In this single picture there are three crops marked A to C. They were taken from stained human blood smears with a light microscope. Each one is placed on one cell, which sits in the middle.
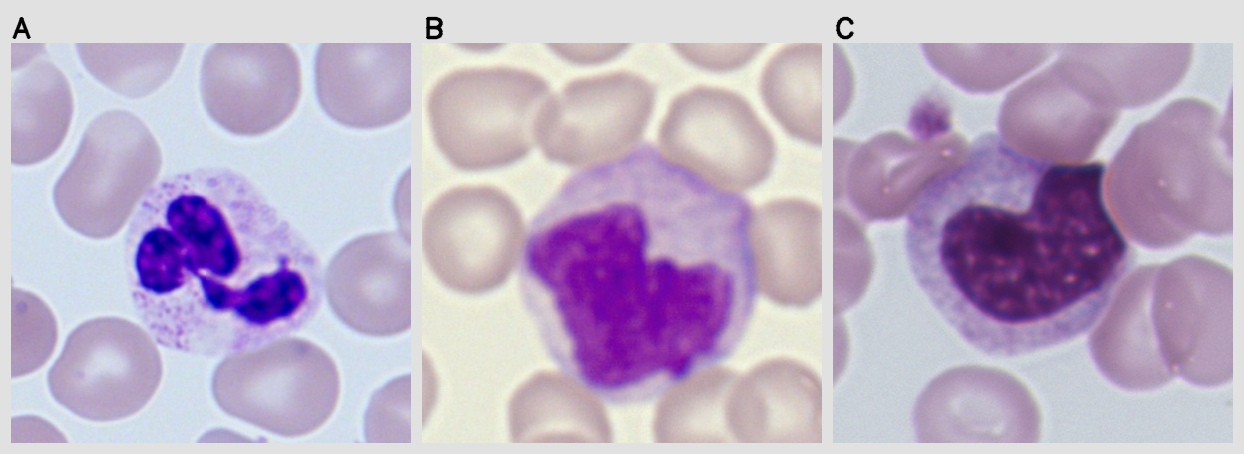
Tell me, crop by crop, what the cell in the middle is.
A: segmented neutrophil
B: monocyte
C: band neutrophil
